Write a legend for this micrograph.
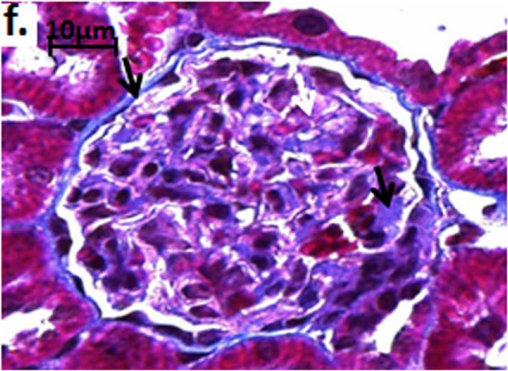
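A renal glomerulus is shown with its capillary tuft inside Bowman's capsule, surrounded by tubules with deep red cytoplasm. The tuft is densely cellular, with many dark nuclei packed together in purple-blue matrix and only a few open capillary lumens. A blue-stained rim lines the capsule, separated from the tuft by a narrow clear space. Black arrows point to blue material at the capsule and within the tuft.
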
